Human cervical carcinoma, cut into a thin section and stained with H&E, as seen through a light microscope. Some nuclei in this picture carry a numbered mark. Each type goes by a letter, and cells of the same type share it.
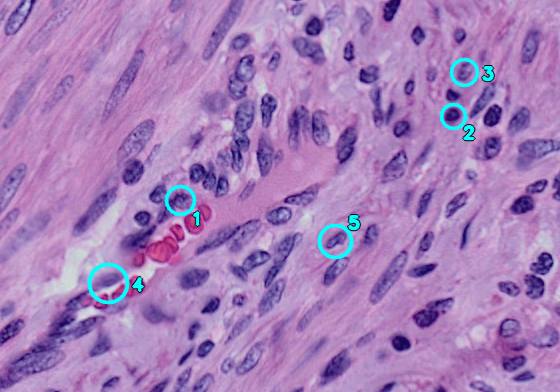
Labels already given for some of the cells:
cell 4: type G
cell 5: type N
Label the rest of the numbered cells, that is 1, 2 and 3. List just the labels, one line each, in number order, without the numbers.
type G
type N
type N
